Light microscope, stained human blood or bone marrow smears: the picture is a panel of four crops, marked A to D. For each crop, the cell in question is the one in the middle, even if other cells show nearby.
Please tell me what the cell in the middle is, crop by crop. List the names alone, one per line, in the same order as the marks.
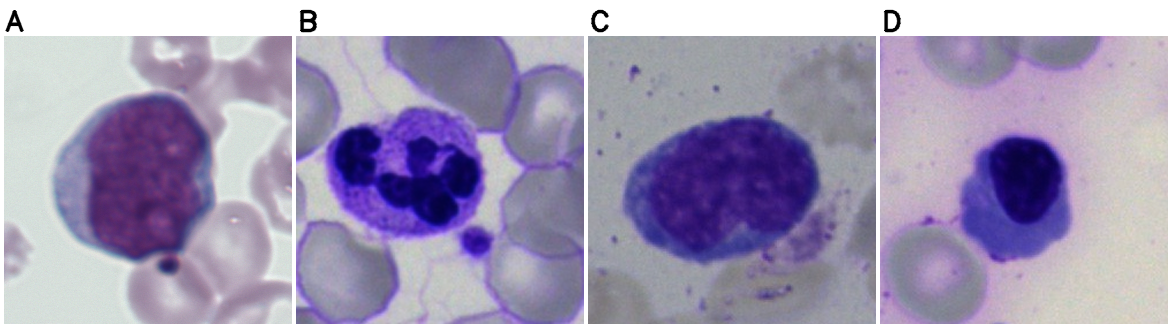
blast
neutrophil
blast
normoblast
